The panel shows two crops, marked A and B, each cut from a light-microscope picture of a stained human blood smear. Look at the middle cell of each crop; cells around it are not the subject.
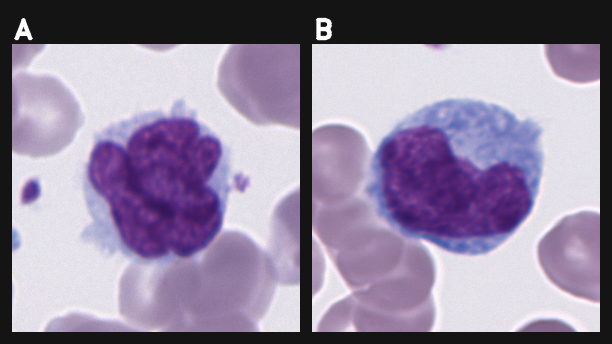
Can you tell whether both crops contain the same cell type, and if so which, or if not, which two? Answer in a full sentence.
Yes, in the two crops, monocytes are the cells at the centre.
